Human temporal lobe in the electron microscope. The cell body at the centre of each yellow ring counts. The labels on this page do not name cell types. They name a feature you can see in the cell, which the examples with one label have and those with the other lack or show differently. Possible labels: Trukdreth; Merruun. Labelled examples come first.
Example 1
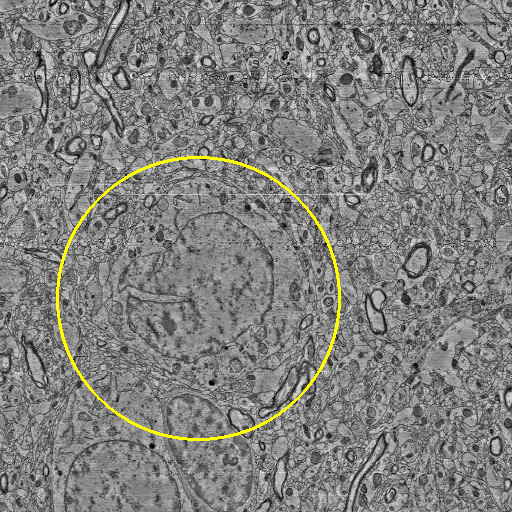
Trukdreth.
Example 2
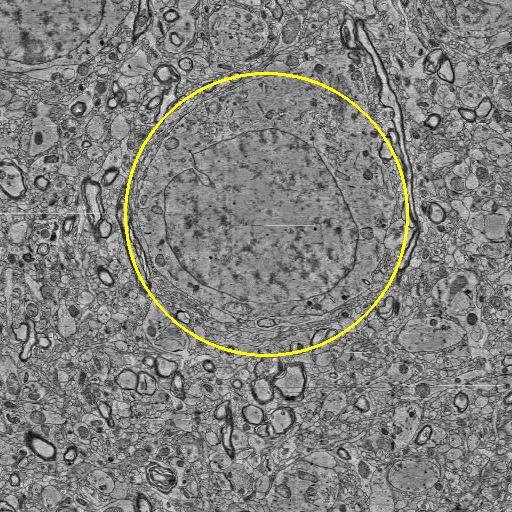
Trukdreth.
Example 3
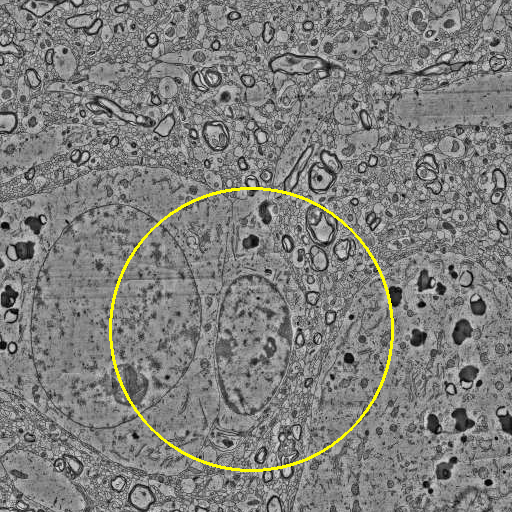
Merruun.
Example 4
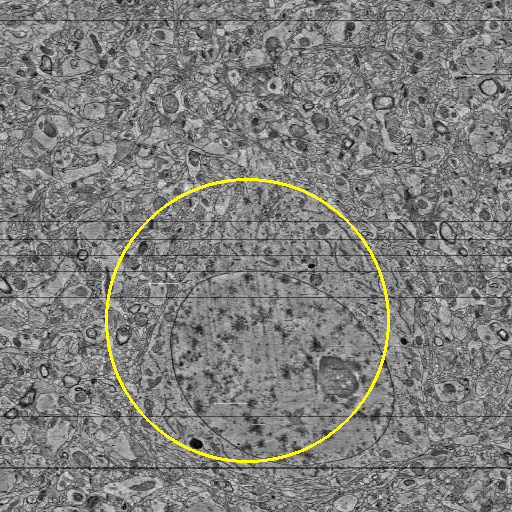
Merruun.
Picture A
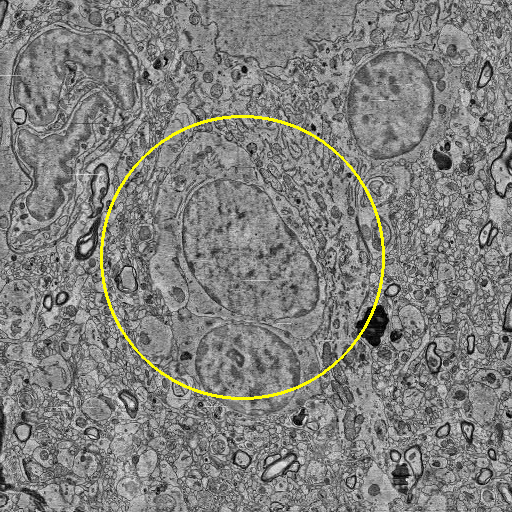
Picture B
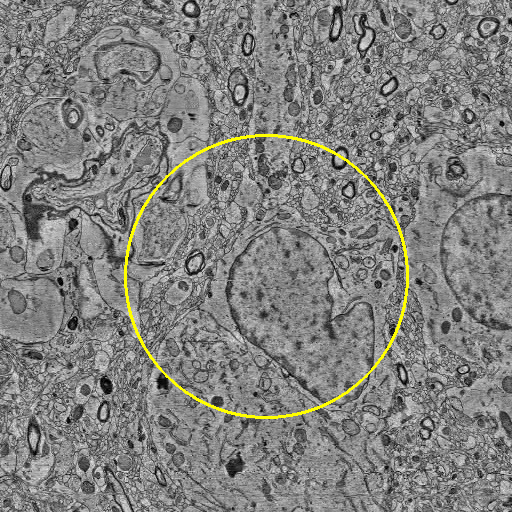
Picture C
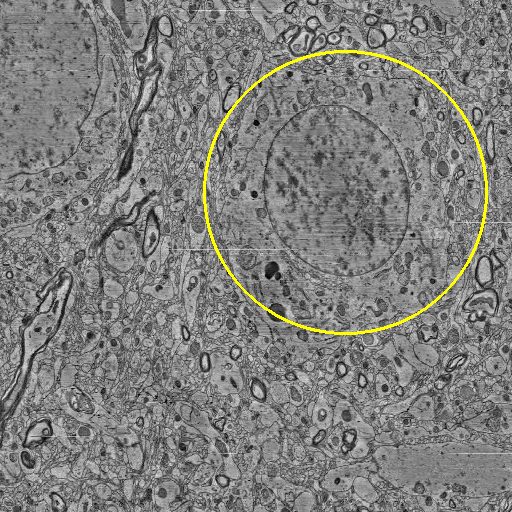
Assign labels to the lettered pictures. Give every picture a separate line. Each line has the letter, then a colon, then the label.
A: Merruun.
B: Trukdreth.
C: Merruun.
